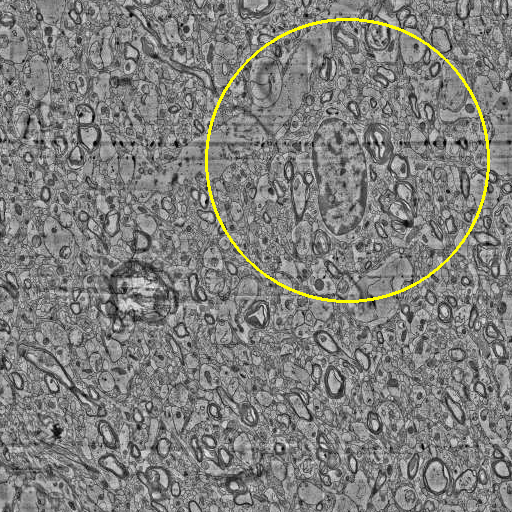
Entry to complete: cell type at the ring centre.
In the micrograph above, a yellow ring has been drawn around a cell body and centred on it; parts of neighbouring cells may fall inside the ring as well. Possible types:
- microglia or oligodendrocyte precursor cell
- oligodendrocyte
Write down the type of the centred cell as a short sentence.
The ring is centred on a microglial cell or oligodendrocyte precursor cell.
